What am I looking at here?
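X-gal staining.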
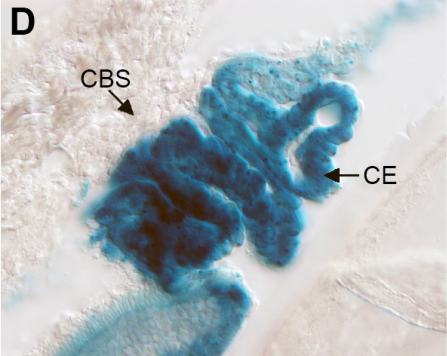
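This is the ciliary body, with its ciliary epithelium folded into convoluted processes over a ciliary body stroma. Near the base the folds are crowded and stain a deep, dark blue, while the more distal loops are paler blue and show the epithelial layer clearly outlining a hollow core. The surrounding stroma is pale beige and unstained, made of loose fibrous tissue.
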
